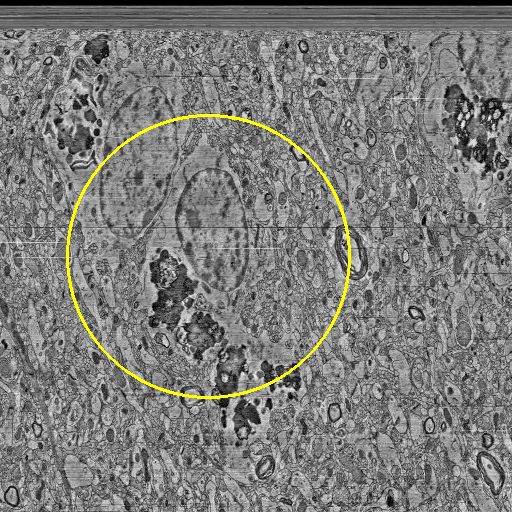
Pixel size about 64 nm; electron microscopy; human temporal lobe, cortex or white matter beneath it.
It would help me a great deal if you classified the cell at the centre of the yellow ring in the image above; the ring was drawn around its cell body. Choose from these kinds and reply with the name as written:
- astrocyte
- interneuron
astrocyte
